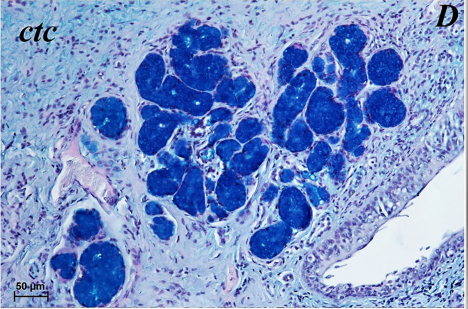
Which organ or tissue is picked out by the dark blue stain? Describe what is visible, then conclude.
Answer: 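Rounded secretory units filled with dark blue material. Units are grouped in lobules within pale connective tissue.
Conclusion: mucous acini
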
